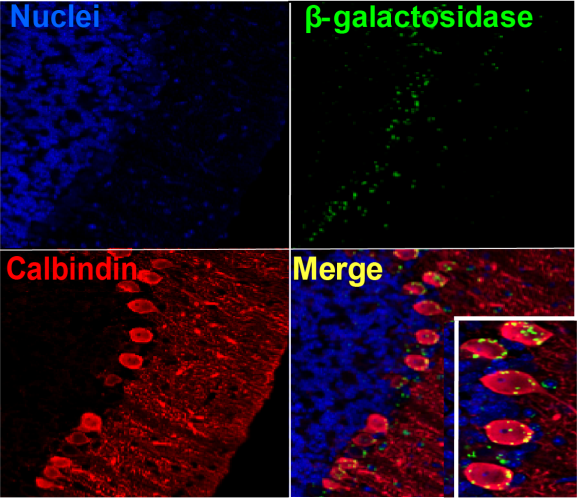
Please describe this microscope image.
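This is cerebellar cortex with a single row of large, rounded Purkinje cell bodies in red lying at the edge of a densely packed layer of small blue nuclei. On the other side of the row a finely striated red layer extends, and small green dots sit on and around the Purkinje cell bodies, best seen in the enlarged inset.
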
